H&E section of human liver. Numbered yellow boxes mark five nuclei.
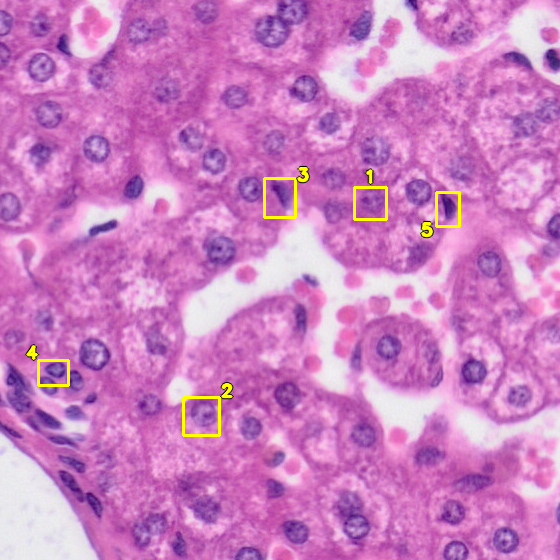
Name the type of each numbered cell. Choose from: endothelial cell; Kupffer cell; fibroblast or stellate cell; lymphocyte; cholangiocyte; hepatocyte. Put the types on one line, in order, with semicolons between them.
hepatocyte; hepatocyte; fibroblast or stellate cell; cholangiocyte; fibroblast or stellate cell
